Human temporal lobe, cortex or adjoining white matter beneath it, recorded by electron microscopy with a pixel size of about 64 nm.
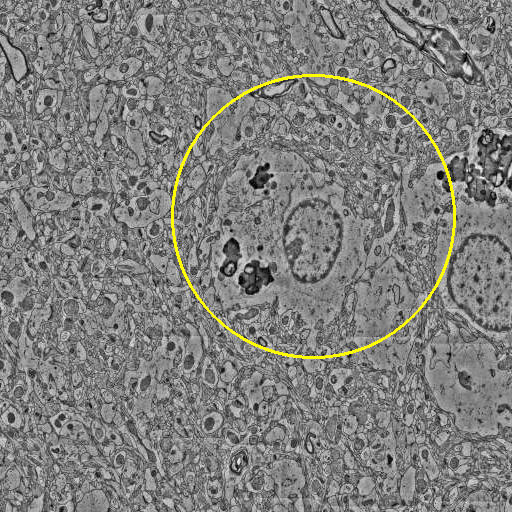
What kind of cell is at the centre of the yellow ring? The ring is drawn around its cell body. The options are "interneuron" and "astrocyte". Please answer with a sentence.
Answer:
The yellow ring marks the cell body of an astrocyte.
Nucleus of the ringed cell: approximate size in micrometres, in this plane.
In this plane, approximately 5 by 4 micrometers.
